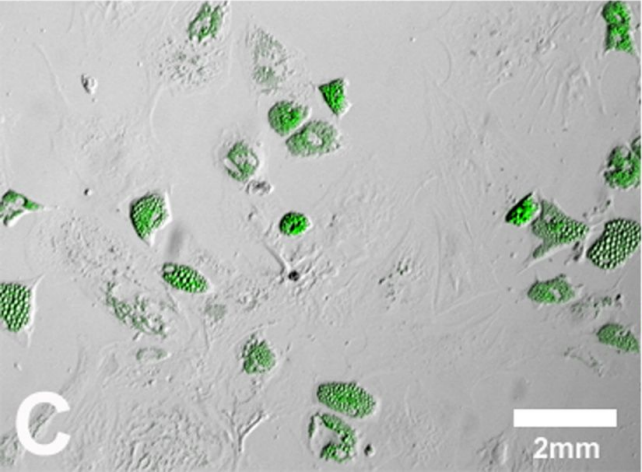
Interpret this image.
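The vacuoles are closely packed, so the rounded or oval cells look beaded, like a bunch of tiny grapes. Some cells are only partly filled, with a ring or loose scatter of droplets. Between them lies a flat, grey layer of spread cells without any green droplets.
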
